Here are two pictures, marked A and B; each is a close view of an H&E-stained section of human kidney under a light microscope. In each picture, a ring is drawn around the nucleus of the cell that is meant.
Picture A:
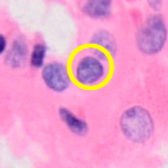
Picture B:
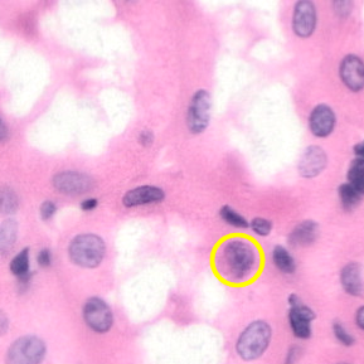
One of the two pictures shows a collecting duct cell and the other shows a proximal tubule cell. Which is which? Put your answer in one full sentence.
Picture A shows a collecting duct cell and picture B shows a proximal tubule cell.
